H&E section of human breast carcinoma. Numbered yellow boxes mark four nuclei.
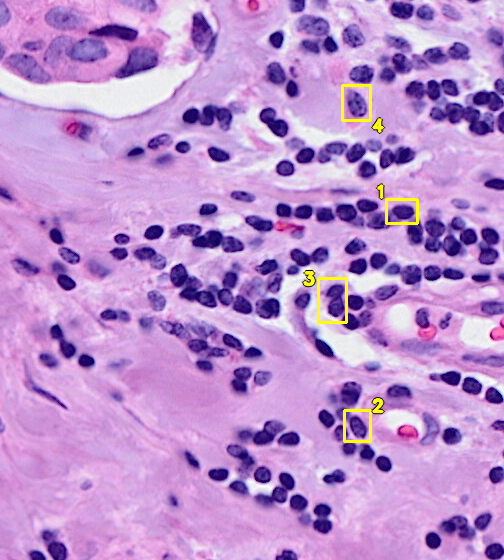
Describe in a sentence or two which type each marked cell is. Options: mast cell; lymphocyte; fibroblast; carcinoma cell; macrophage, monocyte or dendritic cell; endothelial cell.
Cell 1 is a lymphocyte, cell 2 is a lymphocyte, cell 3 is a lymphocyte and cell 4 is a mast cell.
